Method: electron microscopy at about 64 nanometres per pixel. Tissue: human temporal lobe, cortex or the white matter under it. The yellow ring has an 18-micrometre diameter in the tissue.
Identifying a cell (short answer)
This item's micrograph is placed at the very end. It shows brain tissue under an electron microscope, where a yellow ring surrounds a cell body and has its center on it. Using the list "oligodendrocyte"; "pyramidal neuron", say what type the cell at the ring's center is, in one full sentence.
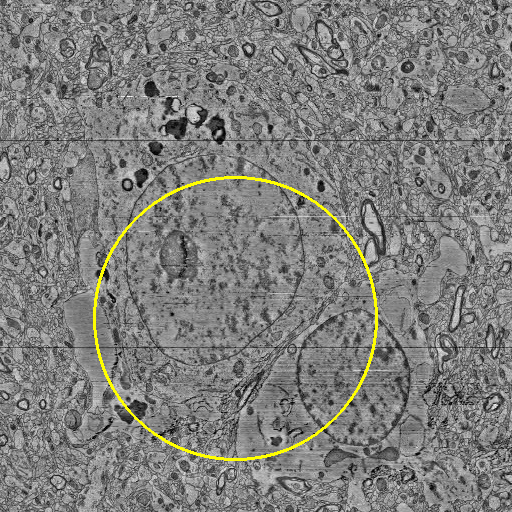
This picture shows a pyramidal neuron at the center of the yellow ring drawn on it.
